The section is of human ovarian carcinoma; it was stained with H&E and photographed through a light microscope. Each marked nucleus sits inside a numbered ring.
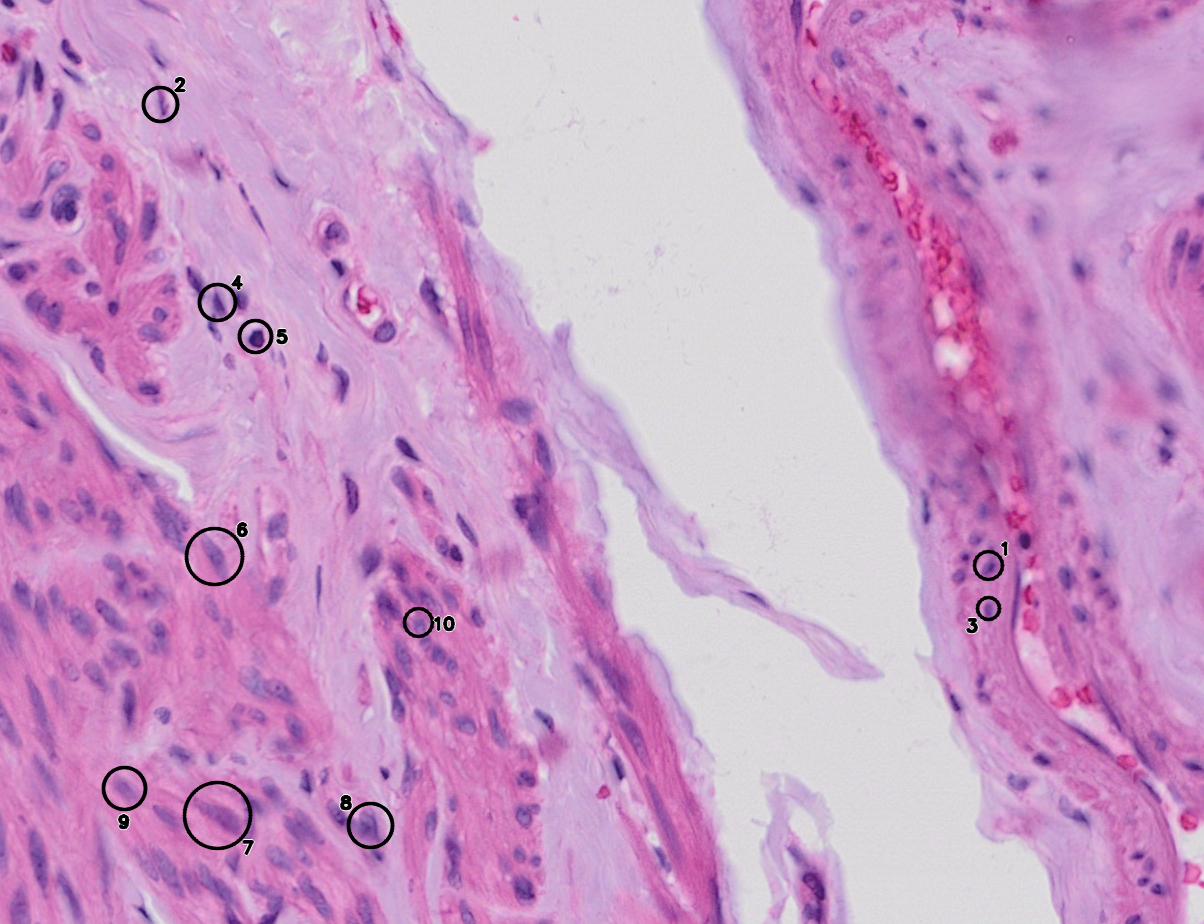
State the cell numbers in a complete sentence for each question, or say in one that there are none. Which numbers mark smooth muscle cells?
The cells with labels 1, 3, 6, 7, 9 and 10 are smooth muscle cells.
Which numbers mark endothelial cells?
Of the cells carrying numbers, just cell 8 is an endothelial cell.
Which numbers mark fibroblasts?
The cells numbered 2 and 4 fall into the category of fibroblasts.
